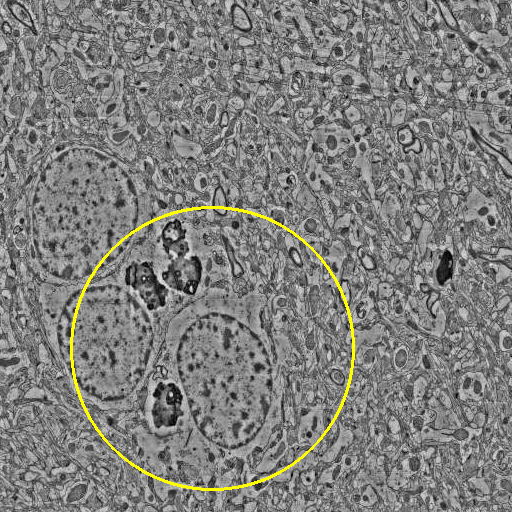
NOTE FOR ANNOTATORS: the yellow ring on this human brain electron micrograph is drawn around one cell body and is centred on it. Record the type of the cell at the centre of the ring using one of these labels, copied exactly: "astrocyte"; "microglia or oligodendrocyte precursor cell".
astrocyte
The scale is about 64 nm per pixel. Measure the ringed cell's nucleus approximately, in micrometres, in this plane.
In this plane the nucleus measures roughly 9 by 6 micrometres.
